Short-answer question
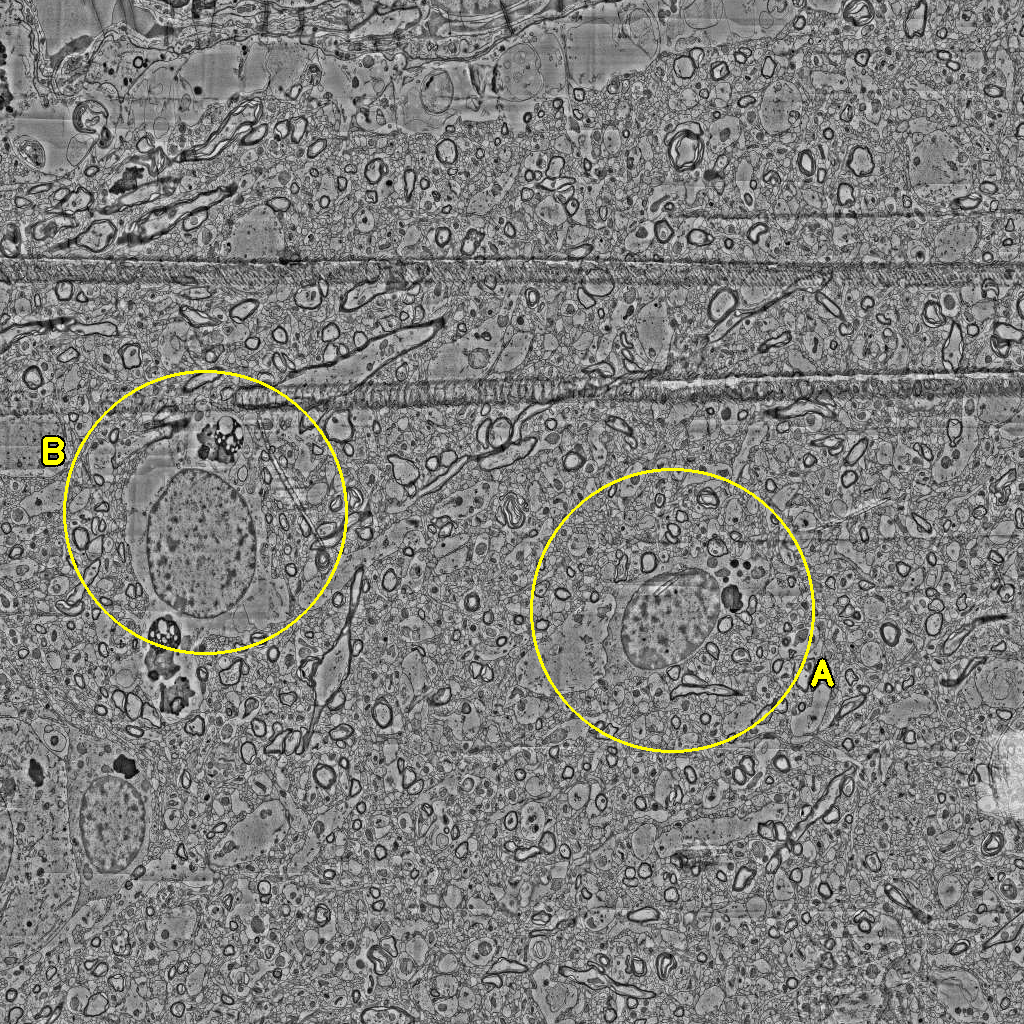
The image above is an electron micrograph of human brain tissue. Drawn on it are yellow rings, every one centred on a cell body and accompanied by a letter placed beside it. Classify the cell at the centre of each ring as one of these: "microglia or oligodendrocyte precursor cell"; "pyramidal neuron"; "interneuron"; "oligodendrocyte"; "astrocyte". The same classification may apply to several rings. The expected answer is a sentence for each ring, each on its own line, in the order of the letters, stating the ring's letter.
The cell at ring A is classified as an oligodendrocyte.
The cell at ring B is classified as an astrocyte.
